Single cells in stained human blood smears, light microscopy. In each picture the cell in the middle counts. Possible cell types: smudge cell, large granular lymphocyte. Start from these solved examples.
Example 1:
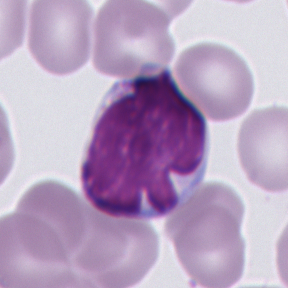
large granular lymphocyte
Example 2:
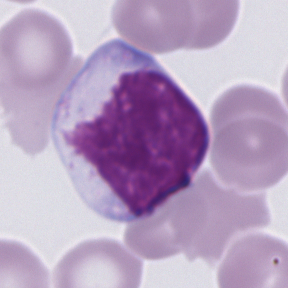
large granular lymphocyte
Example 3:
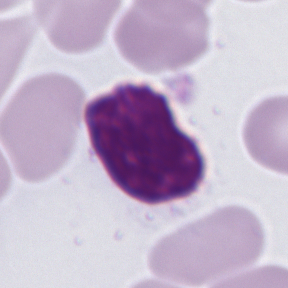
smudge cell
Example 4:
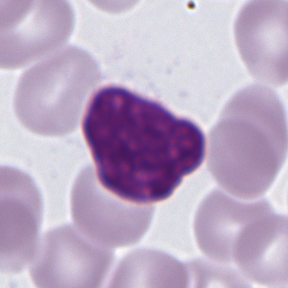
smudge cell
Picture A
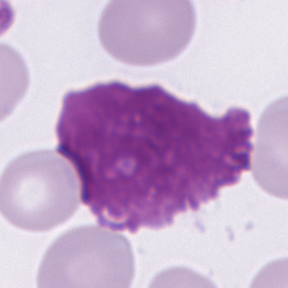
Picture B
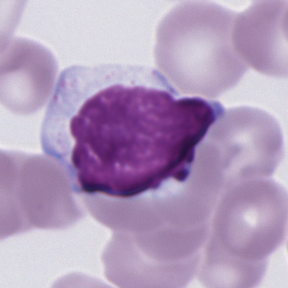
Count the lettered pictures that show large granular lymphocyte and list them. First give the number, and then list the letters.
Count: 1 (B)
